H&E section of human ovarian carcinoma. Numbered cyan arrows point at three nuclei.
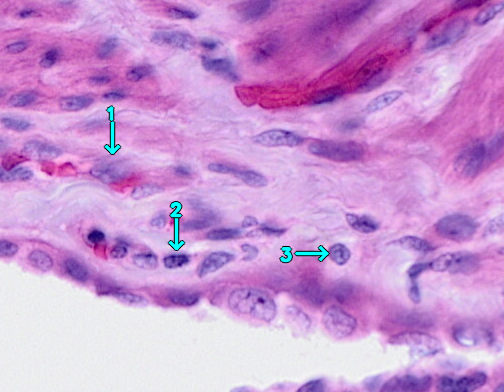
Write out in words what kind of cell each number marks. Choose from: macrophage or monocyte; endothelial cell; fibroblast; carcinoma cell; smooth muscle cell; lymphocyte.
Cell 1 is an endothelial cell, cell 2 is a lymphocyte and cell 3 is a lymphocyte.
